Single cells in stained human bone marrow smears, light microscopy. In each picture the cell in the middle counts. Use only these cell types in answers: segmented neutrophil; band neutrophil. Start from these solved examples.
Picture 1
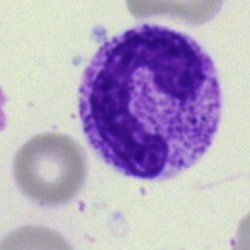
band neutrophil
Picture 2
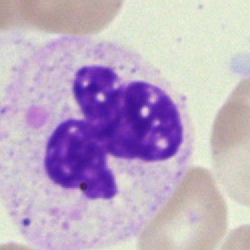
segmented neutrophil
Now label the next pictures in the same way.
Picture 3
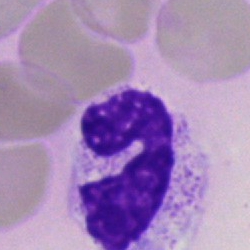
band neutrophil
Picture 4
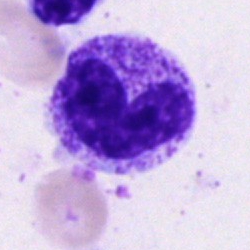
band neutrophil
